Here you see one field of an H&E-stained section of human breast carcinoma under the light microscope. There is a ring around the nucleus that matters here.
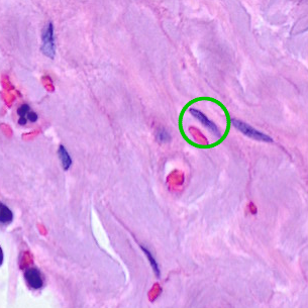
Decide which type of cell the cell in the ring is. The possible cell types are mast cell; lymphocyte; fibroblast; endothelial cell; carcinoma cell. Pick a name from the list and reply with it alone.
fibroblast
